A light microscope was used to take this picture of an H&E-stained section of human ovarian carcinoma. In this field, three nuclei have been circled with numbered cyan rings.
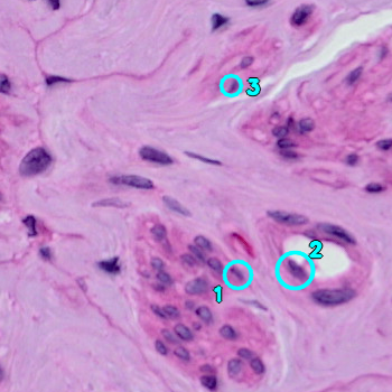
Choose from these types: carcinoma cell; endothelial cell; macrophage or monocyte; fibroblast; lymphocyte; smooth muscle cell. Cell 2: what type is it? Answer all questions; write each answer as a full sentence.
Cell 2 is classified as an endothelial cell.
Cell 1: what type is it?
The cell assigned the number 1 is a smooth muscle cell.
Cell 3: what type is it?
The numeral 3 marks a smooth muscle cell in this section.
